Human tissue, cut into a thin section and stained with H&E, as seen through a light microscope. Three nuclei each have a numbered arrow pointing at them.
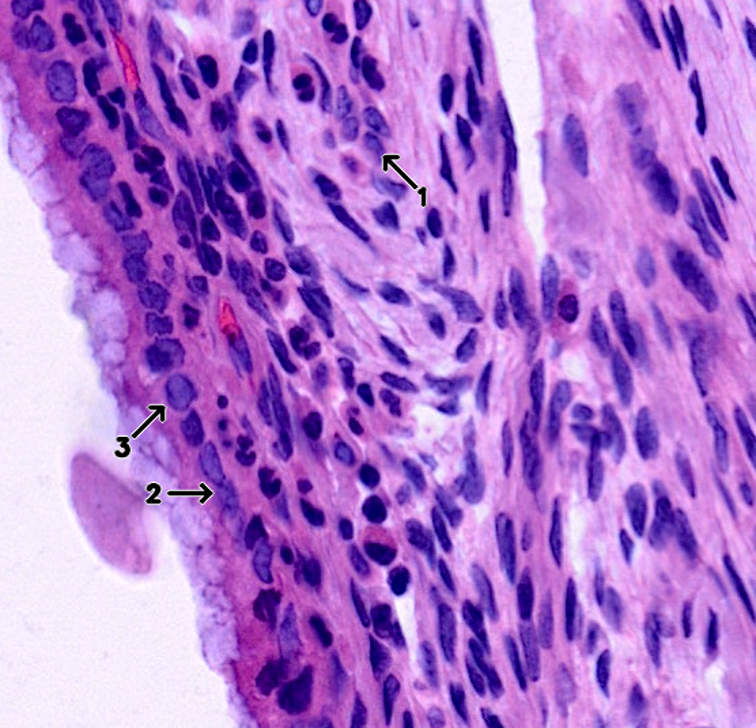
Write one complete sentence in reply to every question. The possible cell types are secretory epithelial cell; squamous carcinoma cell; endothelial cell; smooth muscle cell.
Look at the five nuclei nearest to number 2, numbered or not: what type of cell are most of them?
Around number 2, most of the five nearest nuclei are those of secretory epithelial cells.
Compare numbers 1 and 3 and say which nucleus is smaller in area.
Nucleus 1 is the smaller one; nucleus 3 covers about 2.5 times its area.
